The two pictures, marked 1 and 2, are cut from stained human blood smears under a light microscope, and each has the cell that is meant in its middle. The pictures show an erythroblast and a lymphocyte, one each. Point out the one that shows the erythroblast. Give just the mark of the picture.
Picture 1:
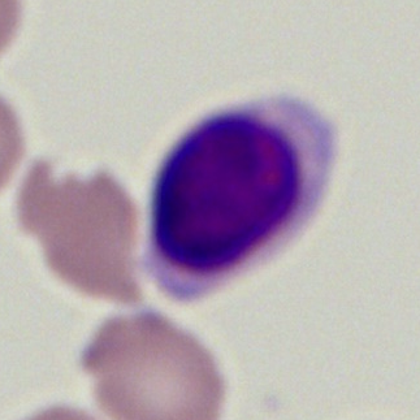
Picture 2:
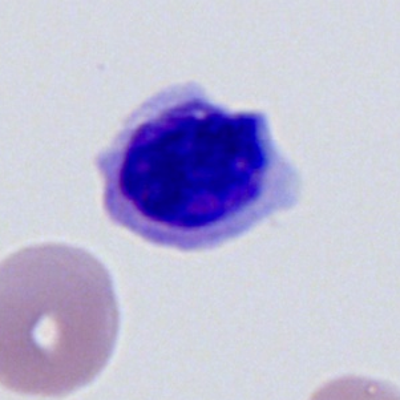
2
